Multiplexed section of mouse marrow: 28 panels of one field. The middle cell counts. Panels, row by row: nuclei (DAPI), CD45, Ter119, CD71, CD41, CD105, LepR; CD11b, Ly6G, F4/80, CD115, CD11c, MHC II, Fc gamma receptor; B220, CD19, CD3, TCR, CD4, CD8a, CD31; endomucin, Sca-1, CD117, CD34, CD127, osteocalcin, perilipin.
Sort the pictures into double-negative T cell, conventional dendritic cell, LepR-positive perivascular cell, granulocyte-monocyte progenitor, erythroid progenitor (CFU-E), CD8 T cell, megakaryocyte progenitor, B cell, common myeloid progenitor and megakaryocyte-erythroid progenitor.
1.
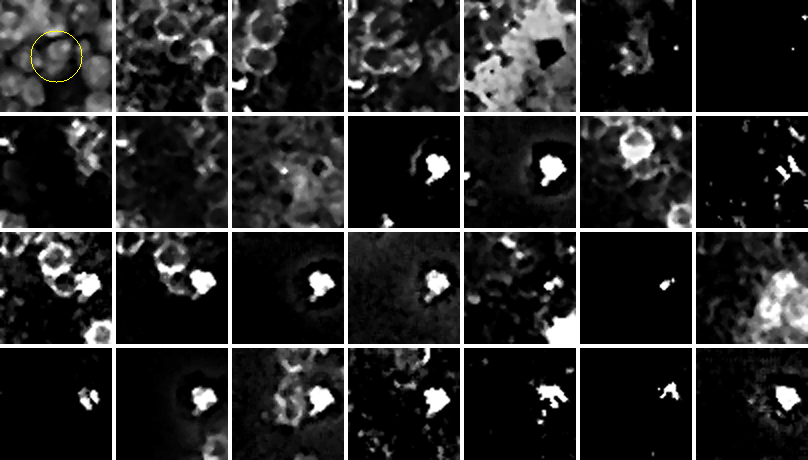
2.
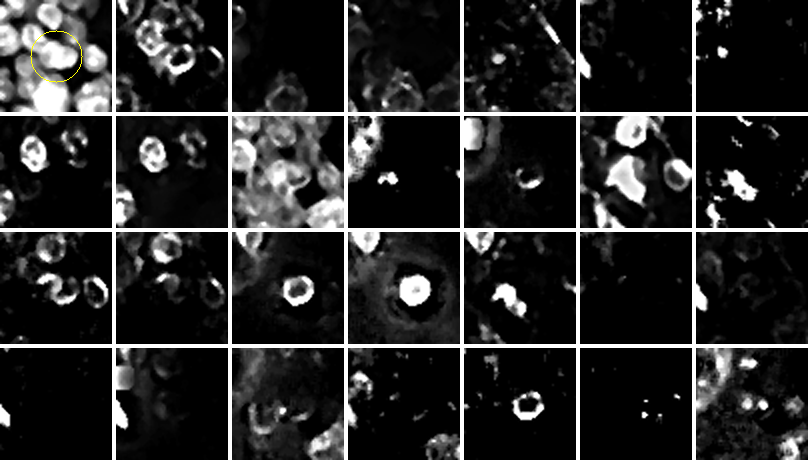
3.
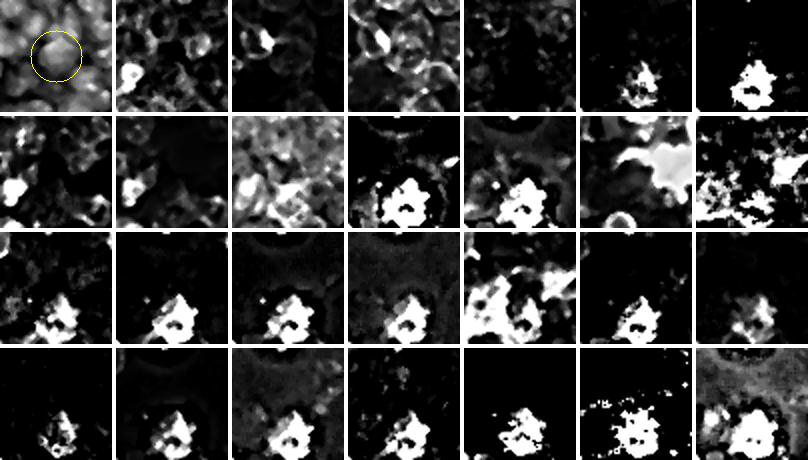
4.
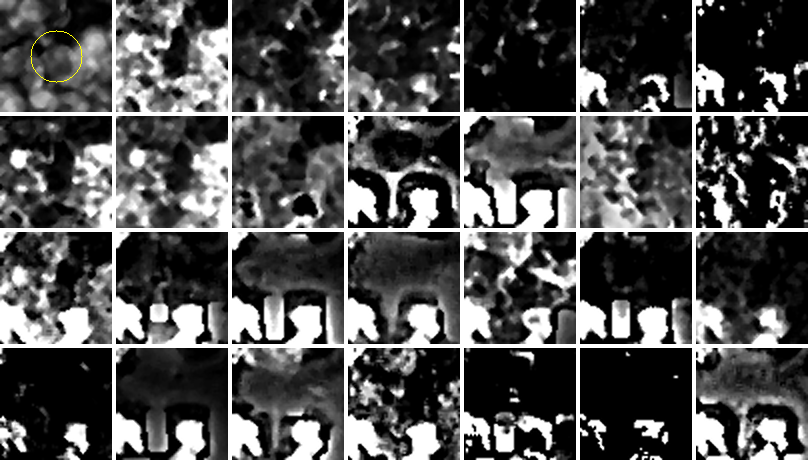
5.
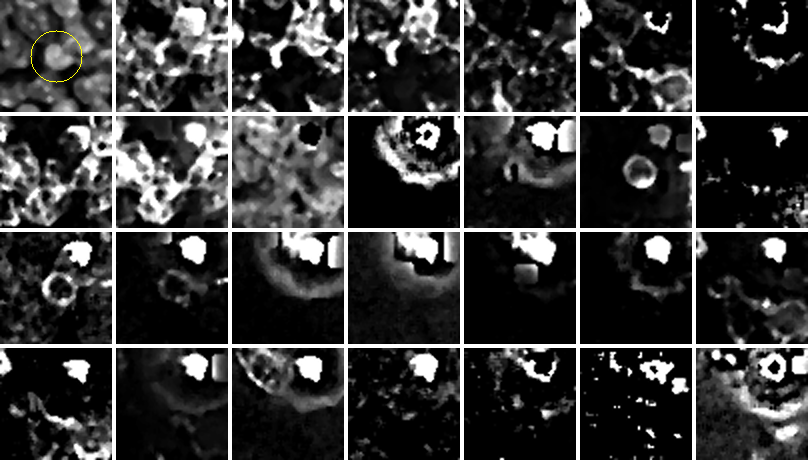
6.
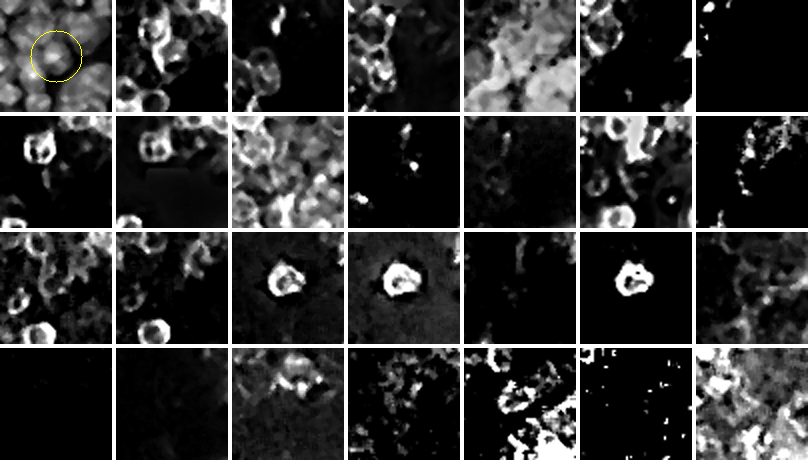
Megakaryocyte progenitors: 1
Double-negative T cells: 2
LepR-positive perivascular cells: 3
Conventional dendritic cells: 4, 5
CD8 T cells: 6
